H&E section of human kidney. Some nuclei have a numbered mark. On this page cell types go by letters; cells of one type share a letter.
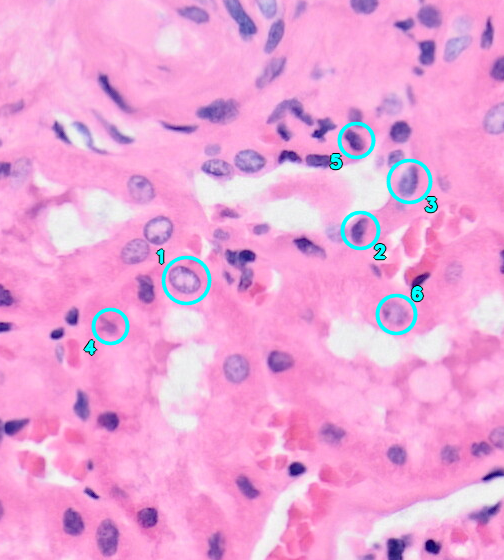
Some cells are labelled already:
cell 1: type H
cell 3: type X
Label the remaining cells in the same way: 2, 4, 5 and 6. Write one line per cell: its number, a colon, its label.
2: type X
4: type H
5: type X
6: type H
